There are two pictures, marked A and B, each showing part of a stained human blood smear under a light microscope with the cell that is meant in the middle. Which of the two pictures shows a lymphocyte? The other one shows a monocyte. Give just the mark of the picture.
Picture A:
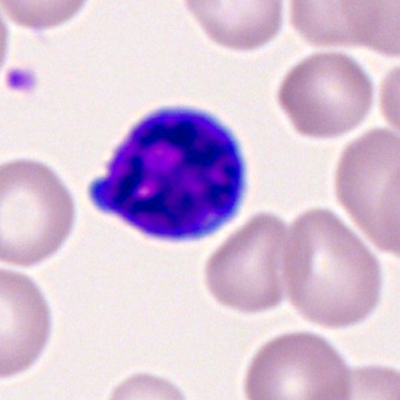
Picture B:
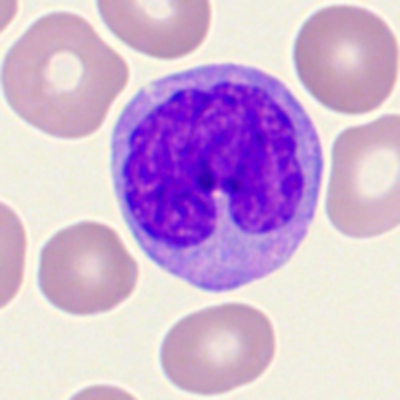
A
